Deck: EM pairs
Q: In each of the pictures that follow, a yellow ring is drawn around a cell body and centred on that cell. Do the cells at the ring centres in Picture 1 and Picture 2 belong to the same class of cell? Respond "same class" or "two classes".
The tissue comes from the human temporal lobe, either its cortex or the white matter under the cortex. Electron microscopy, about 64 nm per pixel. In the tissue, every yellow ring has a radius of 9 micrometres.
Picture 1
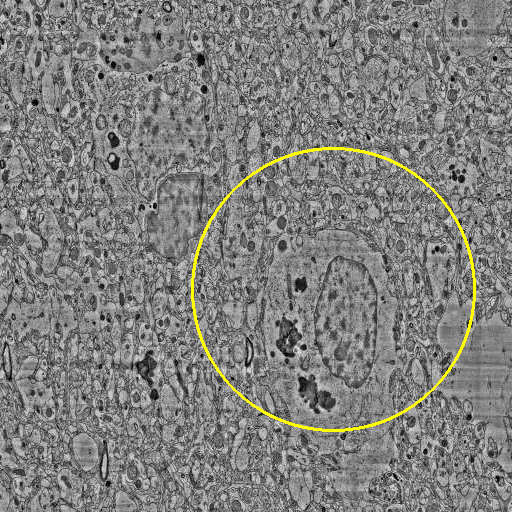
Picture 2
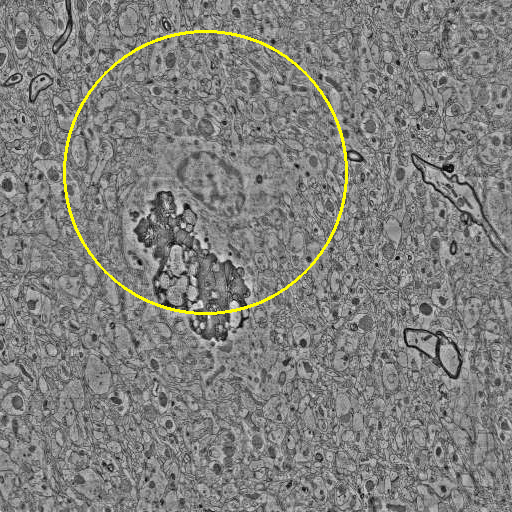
same class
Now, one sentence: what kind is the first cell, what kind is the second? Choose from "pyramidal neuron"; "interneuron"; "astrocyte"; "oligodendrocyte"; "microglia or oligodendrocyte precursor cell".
Each of the two cells is an astrocyte.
